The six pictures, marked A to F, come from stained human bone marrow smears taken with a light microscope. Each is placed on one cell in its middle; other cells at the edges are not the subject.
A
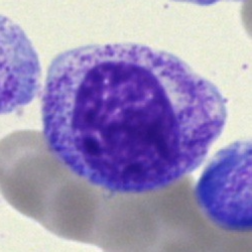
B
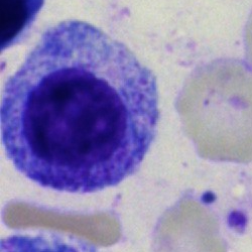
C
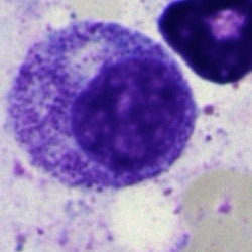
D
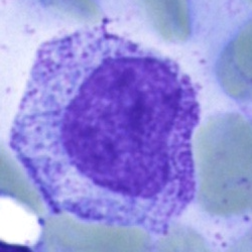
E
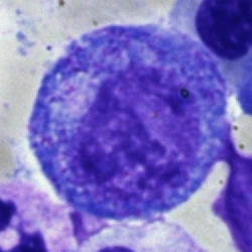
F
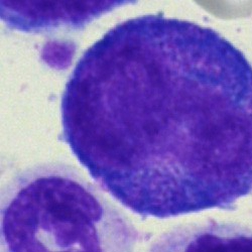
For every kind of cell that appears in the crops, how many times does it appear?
myelocyte: 3
promyelocyte: 3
